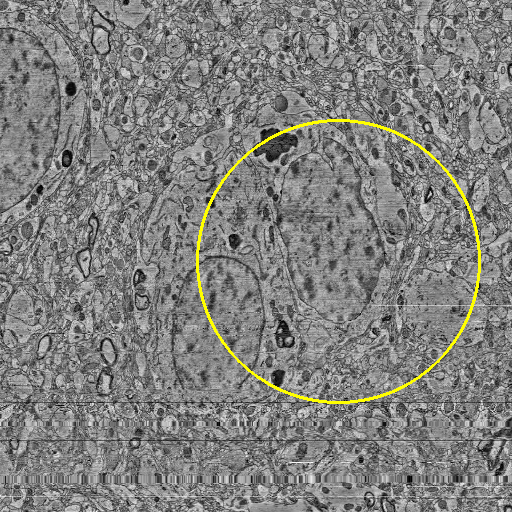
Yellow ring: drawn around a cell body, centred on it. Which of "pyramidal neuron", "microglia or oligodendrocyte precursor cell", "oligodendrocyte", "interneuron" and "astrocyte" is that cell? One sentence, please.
That cell body is from an interneuron.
